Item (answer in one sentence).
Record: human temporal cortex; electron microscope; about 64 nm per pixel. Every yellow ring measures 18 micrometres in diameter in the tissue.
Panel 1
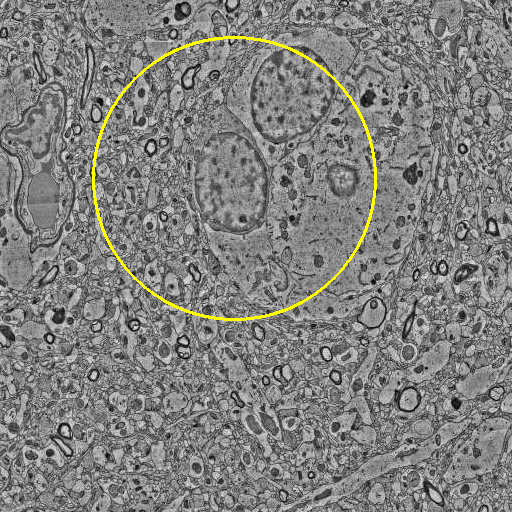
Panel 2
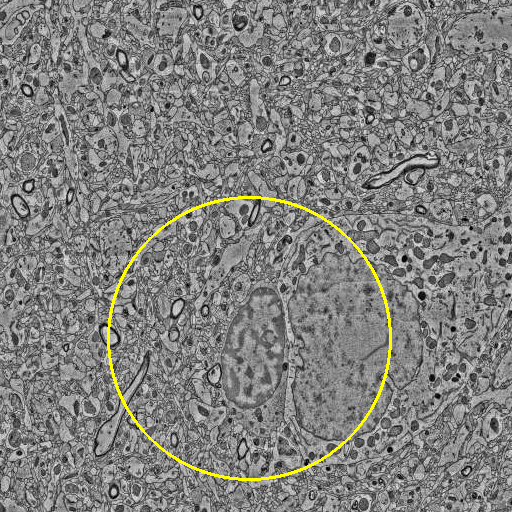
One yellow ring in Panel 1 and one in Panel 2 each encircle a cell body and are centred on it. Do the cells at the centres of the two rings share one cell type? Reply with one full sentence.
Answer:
Yes, Panel 1 and Panel 2 show cells of one type at the centres of their rings.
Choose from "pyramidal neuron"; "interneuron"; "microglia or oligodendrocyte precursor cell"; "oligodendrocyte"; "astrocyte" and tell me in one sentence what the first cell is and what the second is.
Both the first and the second picture show an oligodendrocyte in the ring.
